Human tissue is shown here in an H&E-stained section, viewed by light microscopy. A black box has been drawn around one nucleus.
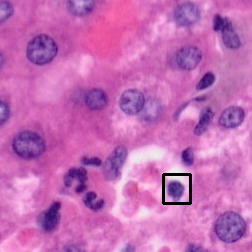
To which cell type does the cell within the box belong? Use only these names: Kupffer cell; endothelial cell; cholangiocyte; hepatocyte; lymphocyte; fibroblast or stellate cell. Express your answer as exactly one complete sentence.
It is as a lymphocyte that the cell within the box is classified.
